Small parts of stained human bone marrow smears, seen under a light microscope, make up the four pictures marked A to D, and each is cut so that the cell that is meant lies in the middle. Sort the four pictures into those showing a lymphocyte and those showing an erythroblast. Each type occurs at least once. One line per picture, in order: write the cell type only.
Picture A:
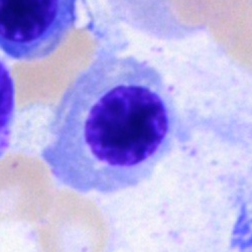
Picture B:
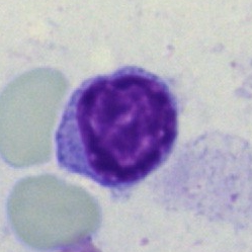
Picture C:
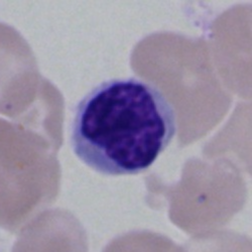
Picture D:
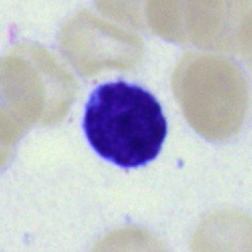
erythroblast
lymphocyte
lymphocyte
lymphocyte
